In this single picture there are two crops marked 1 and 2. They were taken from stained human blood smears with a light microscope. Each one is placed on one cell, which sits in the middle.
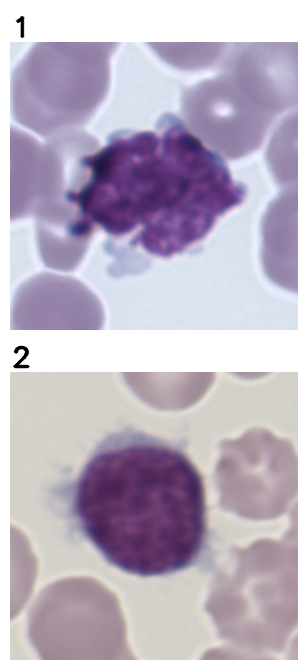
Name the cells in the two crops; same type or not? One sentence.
No, crop 1 shows a large granular lymphocyte, and crop 2, by contrast, shows a hairy cell.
